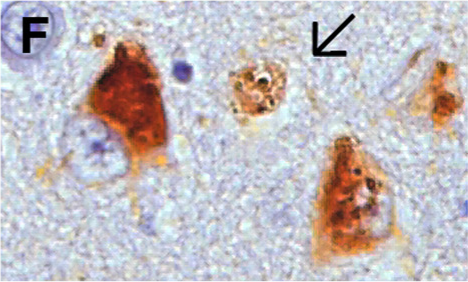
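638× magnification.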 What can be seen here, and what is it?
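Two intact neuron cell bodies, filled with dense brown stain and dark granules, lie beside a small round cluster of vacuoles with dark granules that has no cell body or nucleus of its own, marked by the arrow. The comparison shows the cluster resembles the granule-filled cytoplasm of the neighbouring neurons. A blue-stained nucleus lies at the edge of one of the neurons.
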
